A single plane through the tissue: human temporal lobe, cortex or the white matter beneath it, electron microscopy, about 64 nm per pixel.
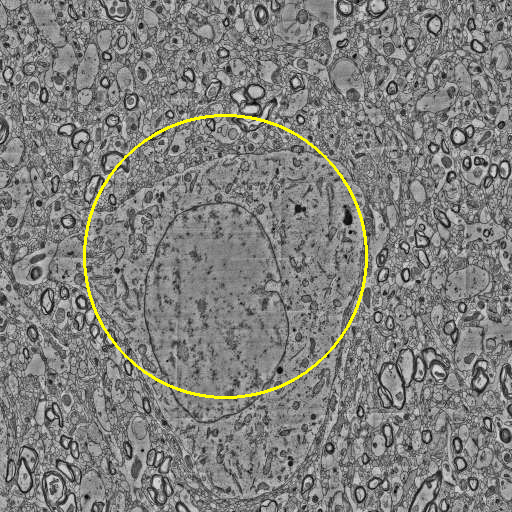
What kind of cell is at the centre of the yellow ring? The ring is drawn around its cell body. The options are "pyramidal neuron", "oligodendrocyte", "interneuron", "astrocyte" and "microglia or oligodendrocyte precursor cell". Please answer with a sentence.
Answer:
The yellow ring marks the cell body of a pyramidal neuron.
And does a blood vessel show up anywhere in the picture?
No.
